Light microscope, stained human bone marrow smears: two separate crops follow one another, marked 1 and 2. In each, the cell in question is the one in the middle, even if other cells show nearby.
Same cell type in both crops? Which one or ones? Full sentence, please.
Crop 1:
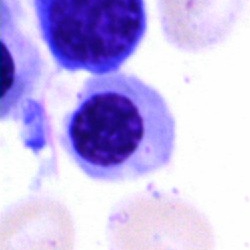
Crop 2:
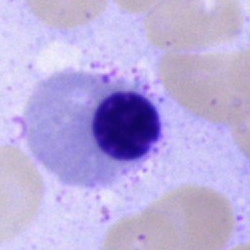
Yes, in both of the crops, the central cells are erythroblasts.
